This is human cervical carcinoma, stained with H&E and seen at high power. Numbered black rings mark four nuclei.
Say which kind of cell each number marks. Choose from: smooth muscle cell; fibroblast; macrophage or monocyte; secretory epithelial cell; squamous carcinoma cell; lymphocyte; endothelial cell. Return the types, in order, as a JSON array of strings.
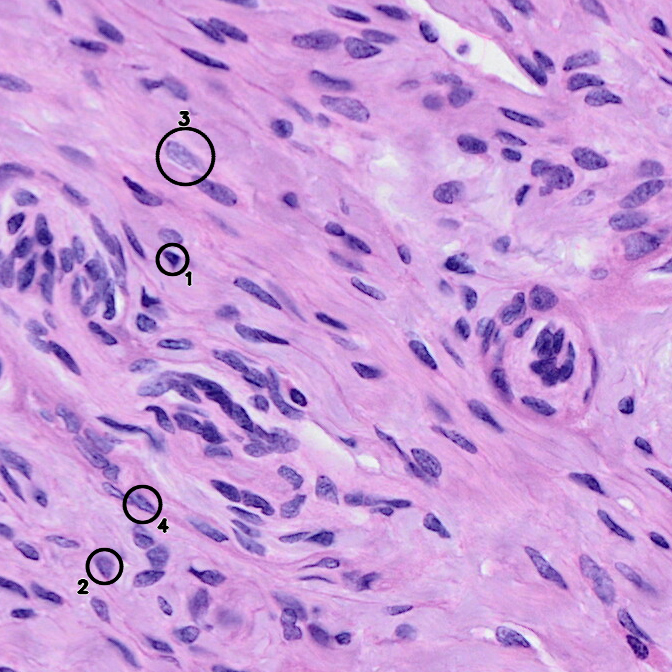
["fibroblast", "fibroblast", "fibroblast", "smooth muscle cell"]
